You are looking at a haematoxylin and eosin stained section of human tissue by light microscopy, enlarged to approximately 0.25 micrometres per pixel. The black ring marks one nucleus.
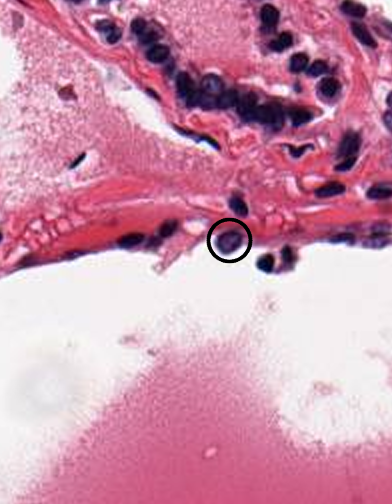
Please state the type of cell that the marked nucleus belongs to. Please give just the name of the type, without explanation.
thyroid follicular cell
